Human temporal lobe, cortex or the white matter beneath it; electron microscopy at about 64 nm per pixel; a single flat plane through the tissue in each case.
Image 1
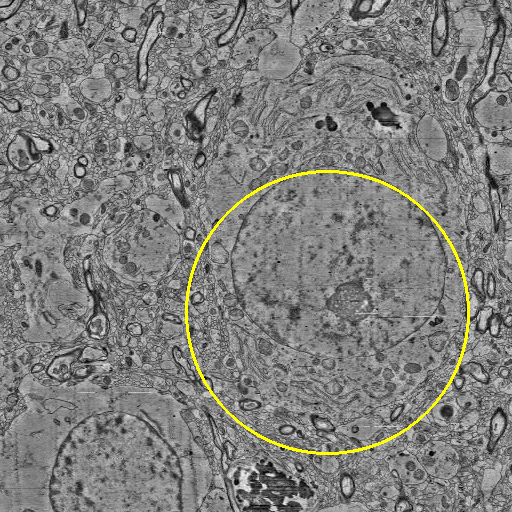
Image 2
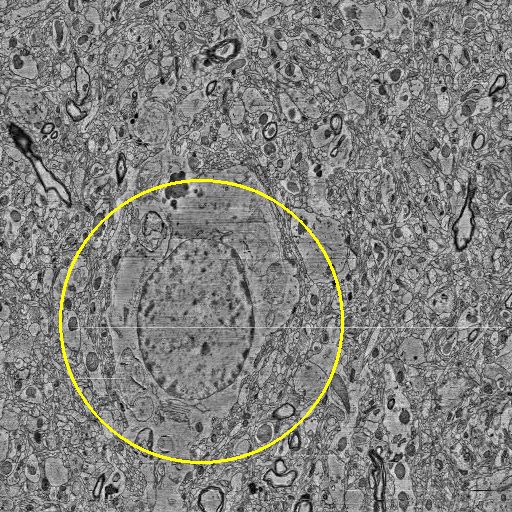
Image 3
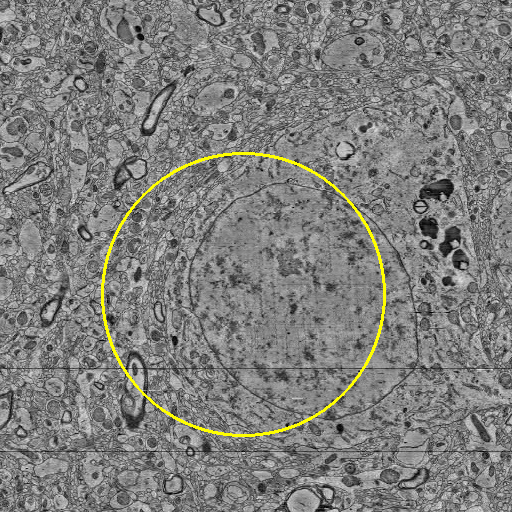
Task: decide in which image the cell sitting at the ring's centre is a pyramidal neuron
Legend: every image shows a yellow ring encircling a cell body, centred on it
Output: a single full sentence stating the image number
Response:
In image 3, the cell at the middle of the ring is the match.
